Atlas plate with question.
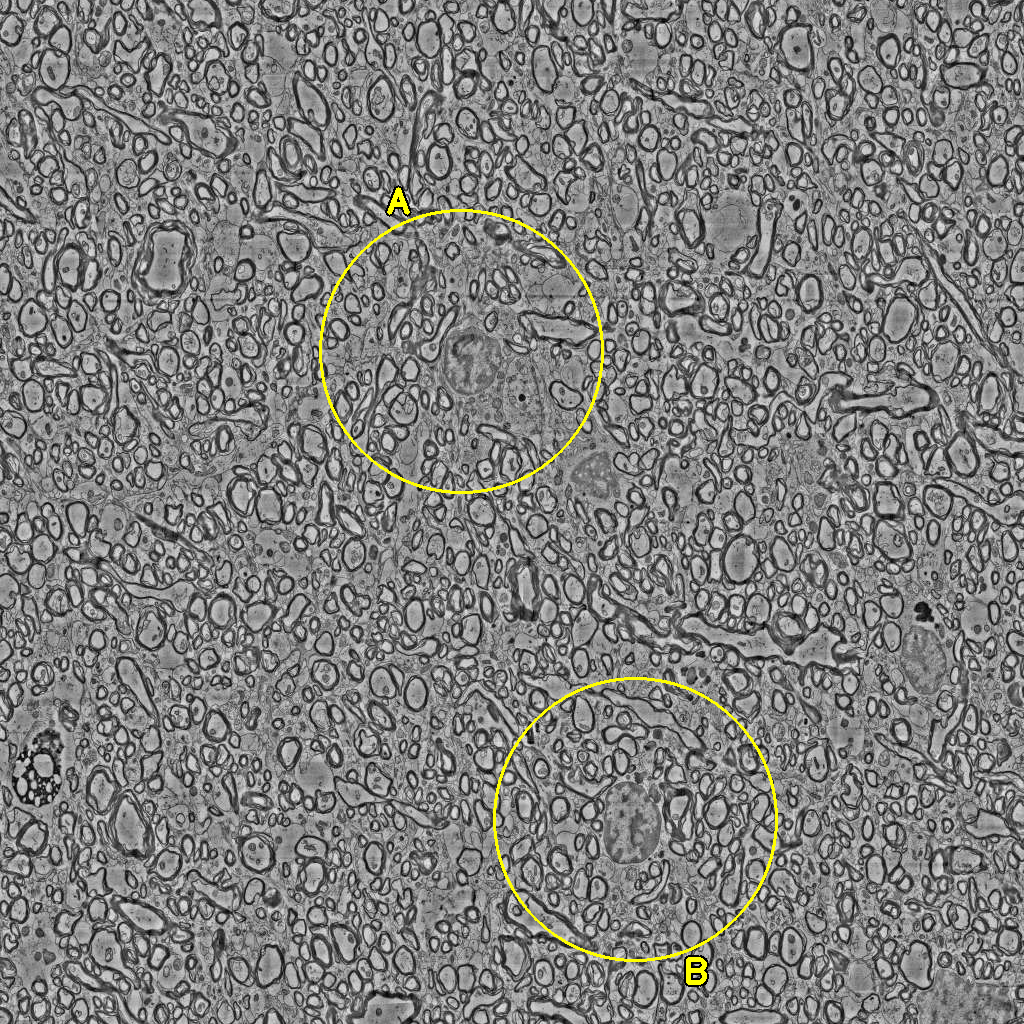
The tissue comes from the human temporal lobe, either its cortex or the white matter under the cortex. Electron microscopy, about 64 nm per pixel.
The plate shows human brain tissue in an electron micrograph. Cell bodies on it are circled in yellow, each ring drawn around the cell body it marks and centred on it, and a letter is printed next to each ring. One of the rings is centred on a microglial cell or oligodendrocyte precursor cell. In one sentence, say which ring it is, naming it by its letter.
It is ring B.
